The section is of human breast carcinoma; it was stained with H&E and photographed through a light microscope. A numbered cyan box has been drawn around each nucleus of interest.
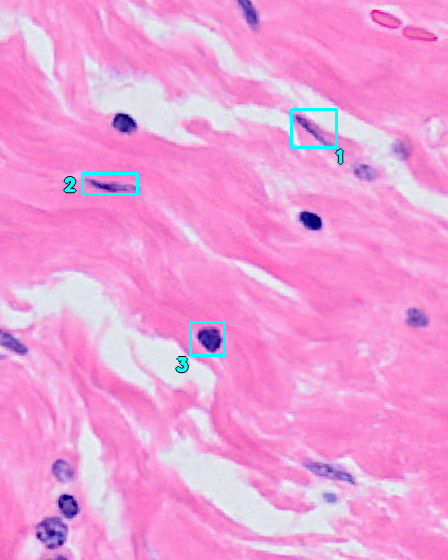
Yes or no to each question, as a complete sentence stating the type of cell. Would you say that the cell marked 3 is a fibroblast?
No, rather than a fibroblast, cell number 3 is a lymphocyte.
